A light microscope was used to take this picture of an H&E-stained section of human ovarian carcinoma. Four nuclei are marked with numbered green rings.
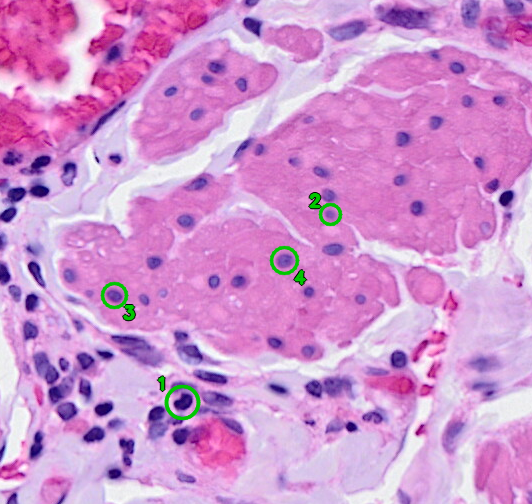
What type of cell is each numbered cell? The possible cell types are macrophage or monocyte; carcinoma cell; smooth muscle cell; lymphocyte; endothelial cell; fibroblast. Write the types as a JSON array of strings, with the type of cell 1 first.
["lymphocyte", "smooth muscle cell", "smooth muscle cell", "smooth muscle cell"]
